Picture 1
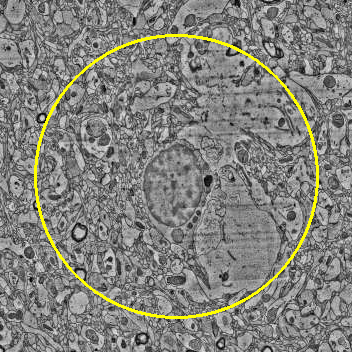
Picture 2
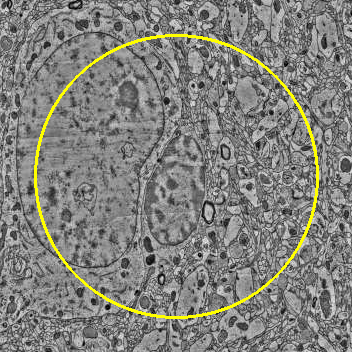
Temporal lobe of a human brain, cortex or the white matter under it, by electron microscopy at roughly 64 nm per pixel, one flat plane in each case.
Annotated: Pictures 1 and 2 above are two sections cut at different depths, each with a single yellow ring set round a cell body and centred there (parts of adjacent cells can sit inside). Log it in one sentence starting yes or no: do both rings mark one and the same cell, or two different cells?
No, the rings mark separate cells, one per ring.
